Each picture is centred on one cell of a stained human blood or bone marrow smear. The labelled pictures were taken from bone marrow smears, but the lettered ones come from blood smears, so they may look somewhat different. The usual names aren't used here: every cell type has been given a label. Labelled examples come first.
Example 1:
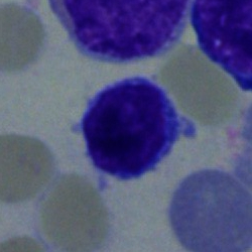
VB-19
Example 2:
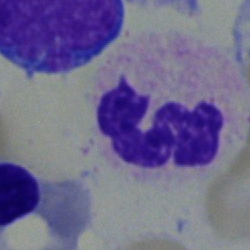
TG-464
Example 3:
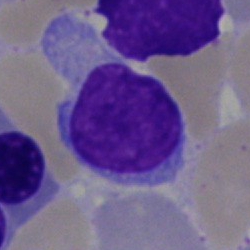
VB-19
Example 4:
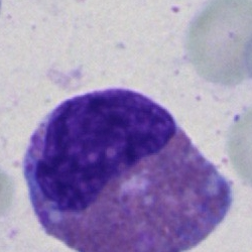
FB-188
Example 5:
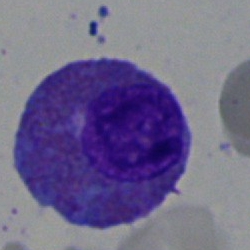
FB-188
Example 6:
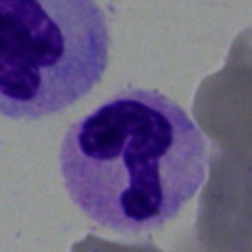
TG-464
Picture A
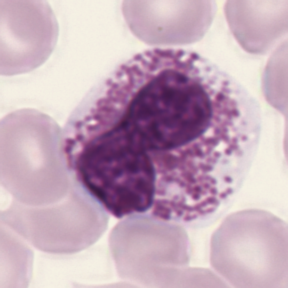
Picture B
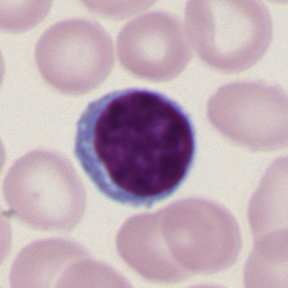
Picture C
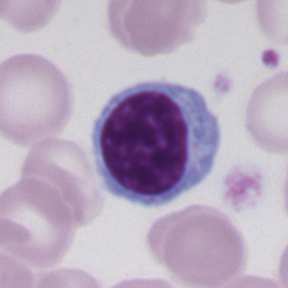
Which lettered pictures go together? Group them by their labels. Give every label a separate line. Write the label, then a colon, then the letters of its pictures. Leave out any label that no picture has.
VB-19: B, C
FB-188: A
